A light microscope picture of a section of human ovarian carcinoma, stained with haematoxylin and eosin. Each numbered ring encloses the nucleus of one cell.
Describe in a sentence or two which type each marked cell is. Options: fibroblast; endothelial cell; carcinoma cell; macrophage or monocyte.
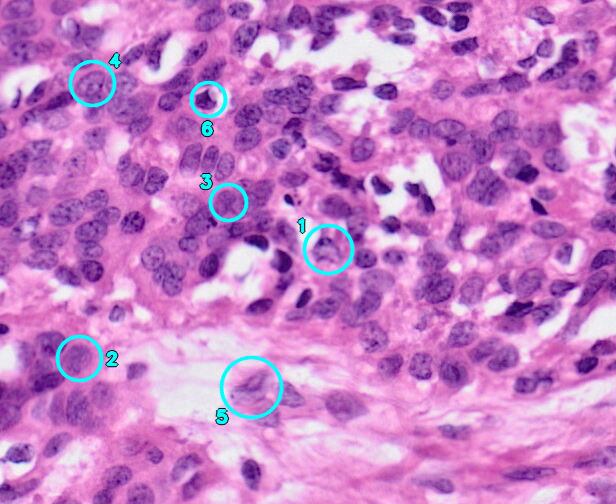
Cell 1 is a macrophage or monocyte, cell 2 is a carcinoma cell, cell 3 is a carcinoma cell, cell 4 is a carcinoma cell, cell 5 is a fibroblast and cell 6 is a carcinoma cell.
